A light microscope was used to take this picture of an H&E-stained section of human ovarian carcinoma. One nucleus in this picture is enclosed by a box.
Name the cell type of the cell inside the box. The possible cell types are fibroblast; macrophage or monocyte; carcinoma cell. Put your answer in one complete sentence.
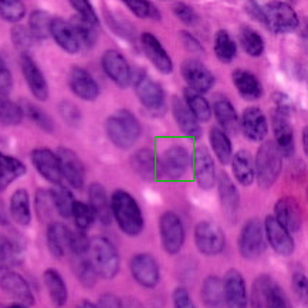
The correct response here is that the cell inside the box is a carcinoma cell.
